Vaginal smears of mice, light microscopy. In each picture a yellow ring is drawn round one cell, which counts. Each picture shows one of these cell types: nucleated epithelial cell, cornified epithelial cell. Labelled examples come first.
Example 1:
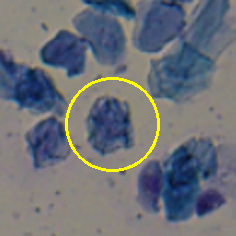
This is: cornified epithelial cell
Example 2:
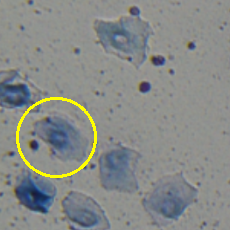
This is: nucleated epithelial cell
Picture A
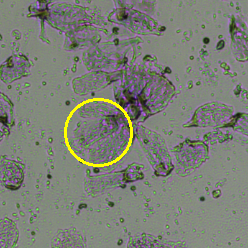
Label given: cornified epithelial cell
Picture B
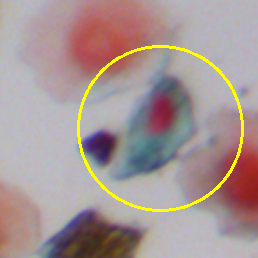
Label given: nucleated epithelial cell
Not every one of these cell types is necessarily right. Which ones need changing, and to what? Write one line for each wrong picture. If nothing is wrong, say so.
All correct.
